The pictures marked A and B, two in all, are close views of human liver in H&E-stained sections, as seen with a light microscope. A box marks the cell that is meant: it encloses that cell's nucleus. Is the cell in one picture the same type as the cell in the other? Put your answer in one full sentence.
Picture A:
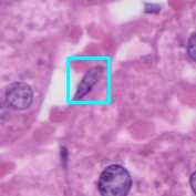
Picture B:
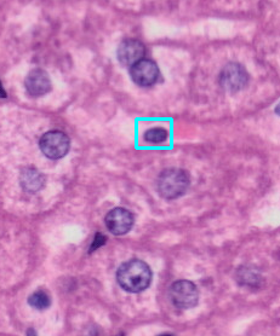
No, they differ: the cell is a Kupffer cell in picture A and a lymphocyte in picture B.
